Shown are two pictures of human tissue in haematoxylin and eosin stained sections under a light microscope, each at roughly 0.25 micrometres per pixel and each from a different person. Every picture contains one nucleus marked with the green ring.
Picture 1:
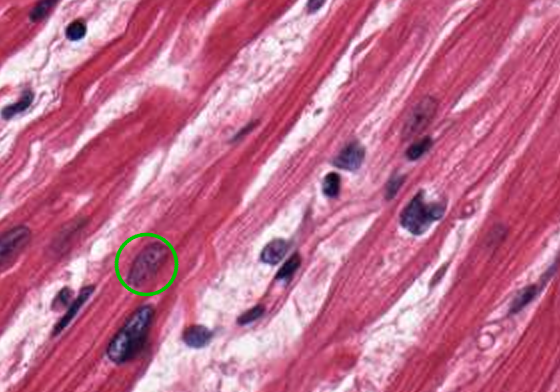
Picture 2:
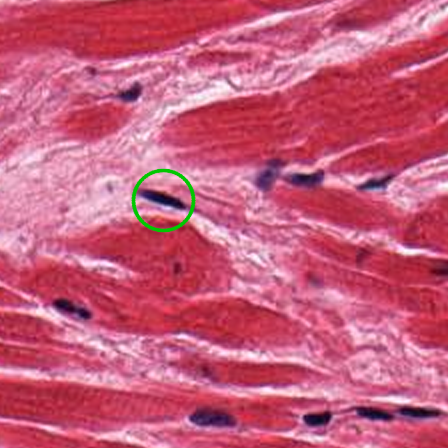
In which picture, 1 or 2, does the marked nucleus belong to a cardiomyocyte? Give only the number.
1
